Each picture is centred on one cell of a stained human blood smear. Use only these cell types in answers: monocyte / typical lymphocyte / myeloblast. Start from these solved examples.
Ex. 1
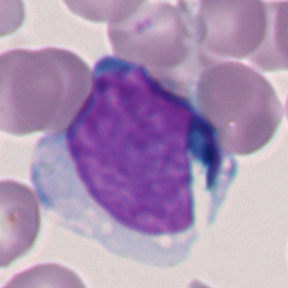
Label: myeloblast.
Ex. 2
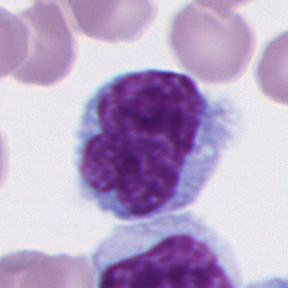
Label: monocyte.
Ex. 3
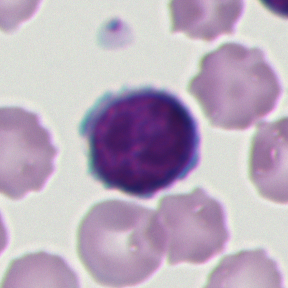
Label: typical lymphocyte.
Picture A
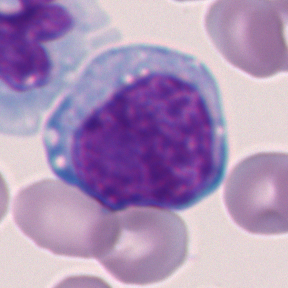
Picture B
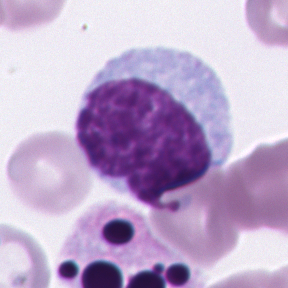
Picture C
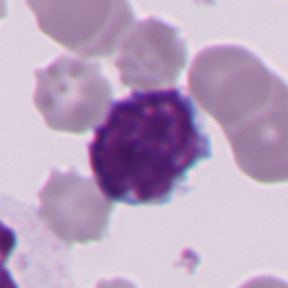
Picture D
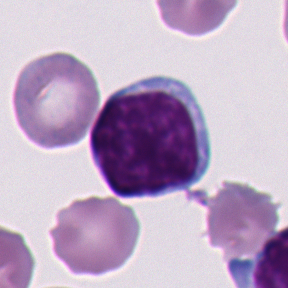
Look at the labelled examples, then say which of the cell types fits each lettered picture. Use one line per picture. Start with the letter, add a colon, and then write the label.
A: myeloblast.
B: monocyte.
C: typical lymphocyte.
D: typical lymphocyte.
